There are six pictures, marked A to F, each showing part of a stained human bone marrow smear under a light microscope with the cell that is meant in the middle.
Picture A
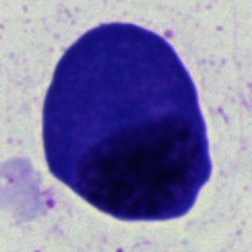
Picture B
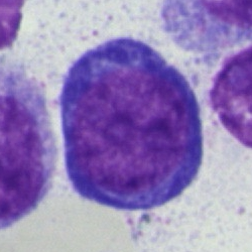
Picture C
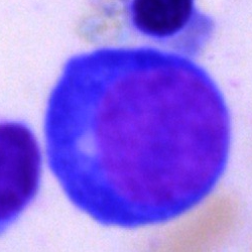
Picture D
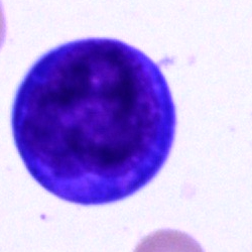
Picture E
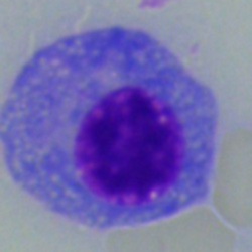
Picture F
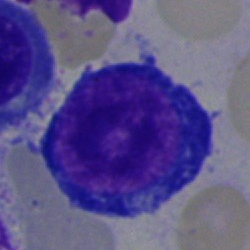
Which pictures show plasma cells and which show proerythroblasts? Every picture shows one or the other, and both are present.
A: plasma cell
B: proerythroblast
C: proerythroblast
D: proerythroblast
E: plasma cell
F: proerythroblast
